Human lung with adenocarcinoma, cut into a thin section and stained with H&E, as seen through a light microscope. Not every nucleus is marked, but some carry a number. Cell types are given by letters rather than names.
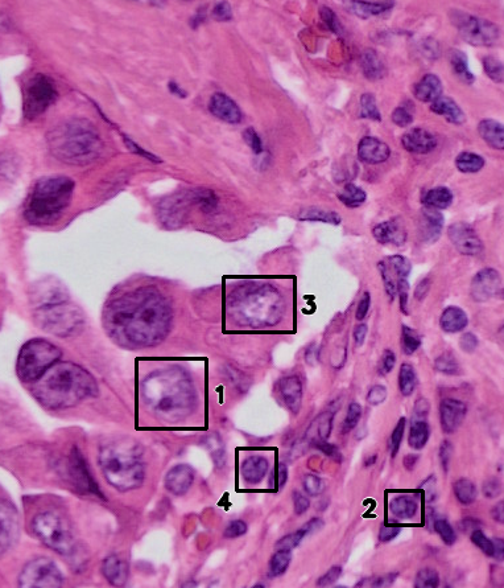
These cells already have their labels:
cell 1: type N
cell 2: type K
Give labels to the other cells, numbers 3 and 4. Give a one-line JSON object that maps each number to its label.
{"3": "type N", "4": "type K"}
